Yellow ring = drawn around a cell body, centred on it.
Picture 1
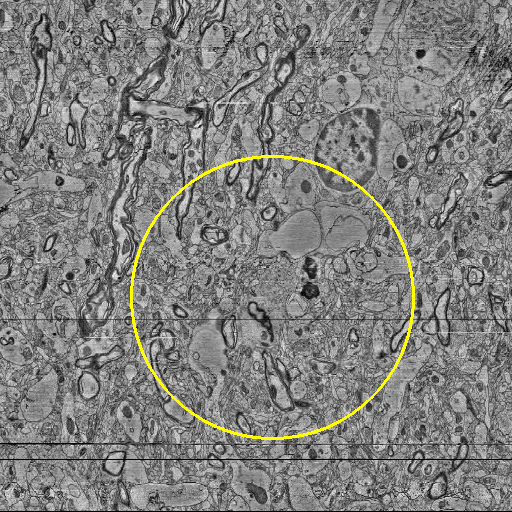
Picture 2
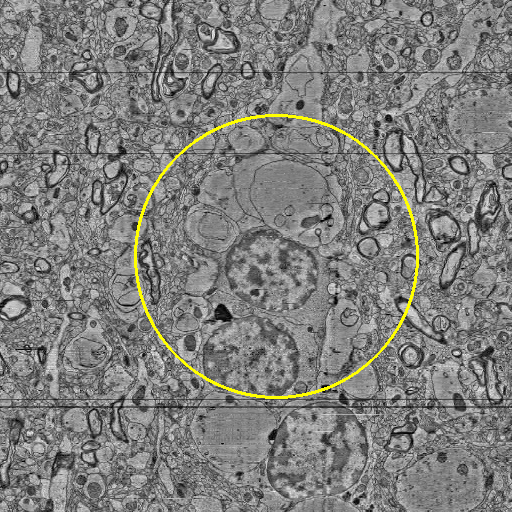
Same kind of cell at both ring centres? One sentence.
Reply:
Yes, they are the same kind of cell.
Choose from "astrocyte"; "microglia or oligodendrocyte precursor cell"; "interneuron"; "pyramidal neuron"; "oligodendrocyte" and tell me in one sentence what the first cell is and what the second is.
Each of the ringed cells, first and second, is an oligodendrocyte.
